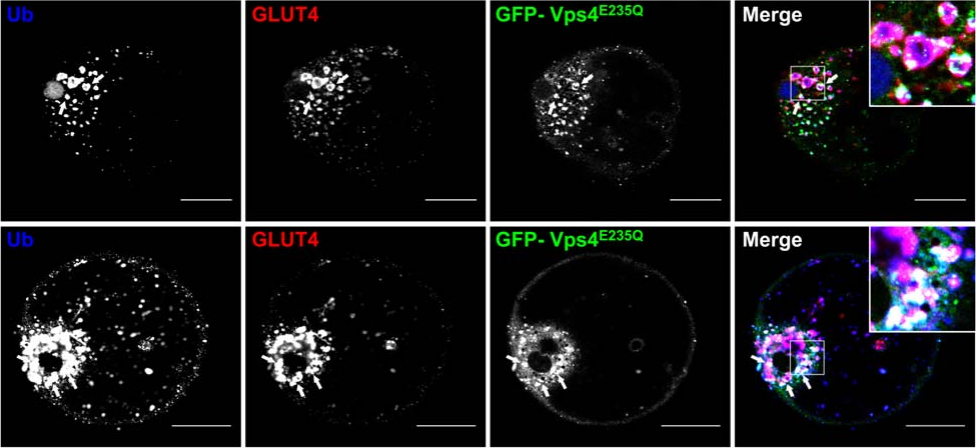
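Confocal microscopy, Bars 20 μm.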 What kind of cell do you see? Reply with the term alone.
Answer: Adipocytes.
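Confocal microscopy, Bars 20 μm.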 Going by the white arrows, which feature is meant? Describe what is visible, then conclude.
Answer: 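The arrows point to large bright ring-shaped bodies clustered on one side of the cell. The same bodies appear in all three channels and are white to magenta in the merged image. So: hybrid enlarged structures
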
